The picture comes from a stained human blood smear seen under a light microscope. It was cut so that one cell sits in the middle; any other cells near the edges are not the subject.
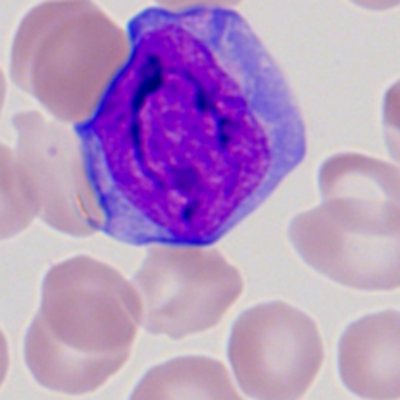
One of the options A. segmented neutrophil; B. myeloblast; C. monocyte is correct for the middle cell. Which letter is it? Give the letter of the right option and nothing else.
B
